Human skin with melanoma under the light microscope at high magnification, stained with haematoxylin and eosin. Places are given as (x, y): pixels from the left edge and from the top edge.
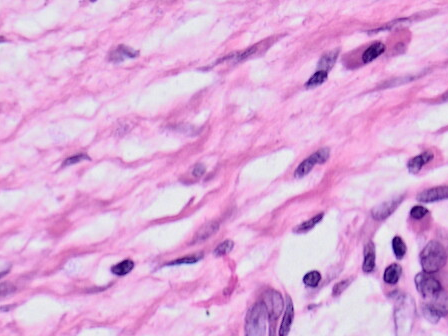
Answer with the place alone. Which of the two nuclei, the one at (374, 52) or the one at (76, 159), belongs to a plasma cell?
(374, 52)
